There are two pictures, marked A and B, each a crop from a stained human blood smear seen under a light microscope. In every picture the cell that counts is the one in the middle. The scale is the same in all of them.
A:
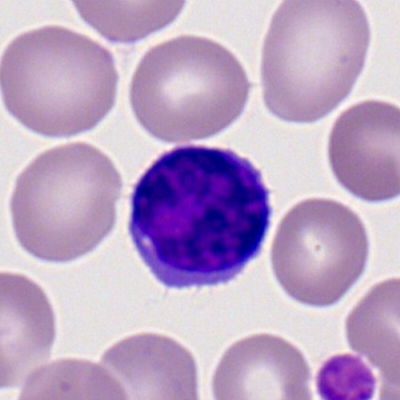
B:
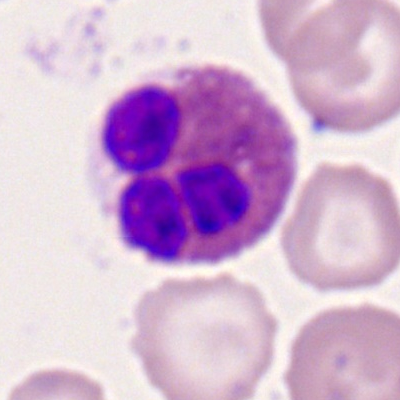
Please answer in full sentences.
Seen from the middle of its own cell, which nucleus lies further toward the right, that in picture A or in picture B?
The nucleus in picture A lies further toward the right of its cell.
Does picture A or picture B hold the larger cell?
The cell in picture B is larger, with about 2 times the area of the one in picture A.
